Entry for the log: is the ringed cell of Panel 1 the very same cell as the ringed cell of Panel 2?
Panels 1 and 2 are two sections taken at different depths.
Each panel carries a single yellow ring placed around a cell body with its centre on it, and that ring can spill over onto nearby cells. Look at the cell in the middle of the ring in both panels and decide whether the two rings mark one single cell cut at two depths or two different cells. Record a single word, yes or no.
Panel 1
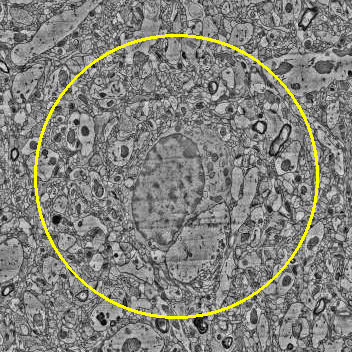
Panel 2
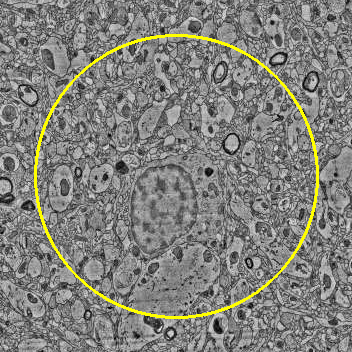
yes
